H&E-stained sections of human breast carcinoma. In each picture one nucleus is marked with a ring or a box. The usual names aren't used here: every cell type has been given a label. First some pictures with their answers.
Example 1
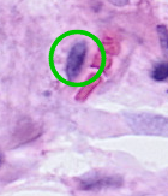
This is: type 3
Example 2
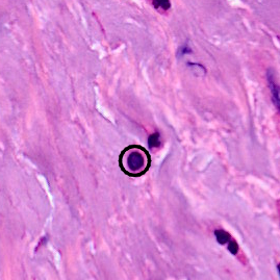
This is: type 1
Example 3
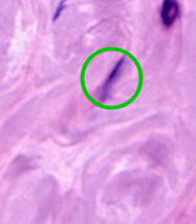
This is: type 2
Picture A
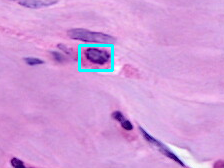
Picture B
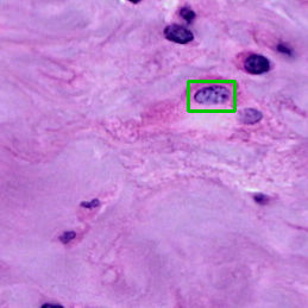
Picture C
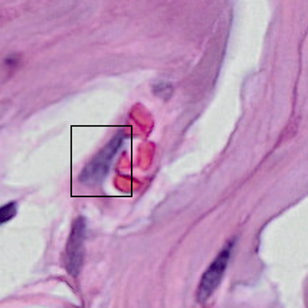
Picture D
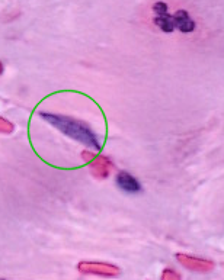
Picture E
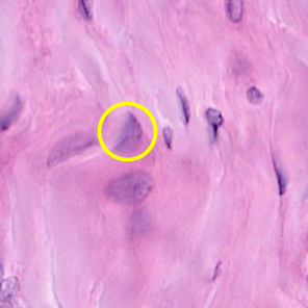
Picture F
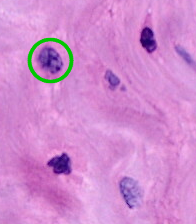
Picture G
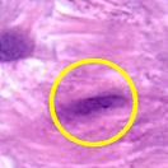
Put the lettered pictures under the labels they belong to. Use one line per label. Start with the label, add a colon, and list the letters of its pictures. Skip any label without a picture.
type 3: C
type 1: A, B, F
type 2: D, E, G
